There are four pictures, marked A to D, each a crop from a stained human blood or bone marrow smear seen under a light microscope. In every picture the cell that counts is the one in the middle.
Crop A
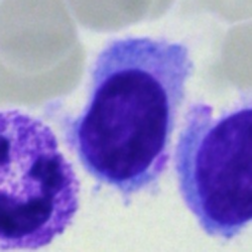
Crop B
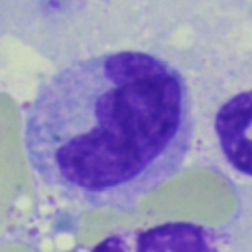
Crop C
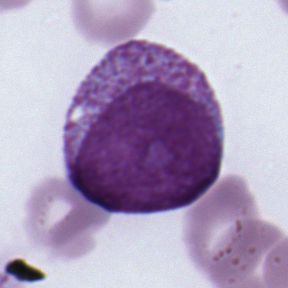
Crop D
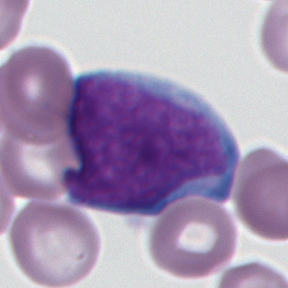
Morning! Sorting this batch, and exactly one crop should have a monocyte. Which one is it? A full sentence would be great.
It is crop B, not any other, that shows a monocyte.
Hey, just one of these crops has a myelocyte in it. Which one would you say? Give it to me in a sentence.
The crop in which a myelocyte is shown is crop C.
